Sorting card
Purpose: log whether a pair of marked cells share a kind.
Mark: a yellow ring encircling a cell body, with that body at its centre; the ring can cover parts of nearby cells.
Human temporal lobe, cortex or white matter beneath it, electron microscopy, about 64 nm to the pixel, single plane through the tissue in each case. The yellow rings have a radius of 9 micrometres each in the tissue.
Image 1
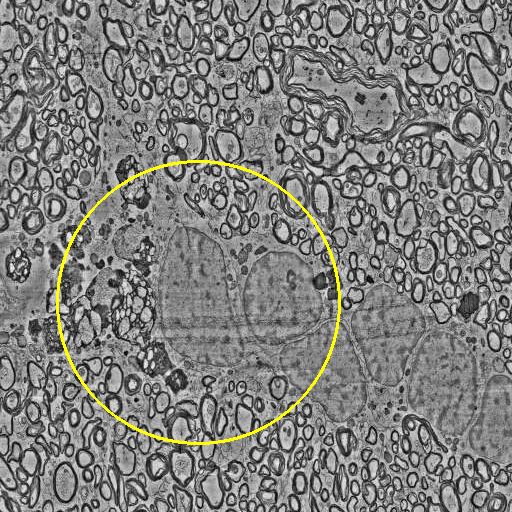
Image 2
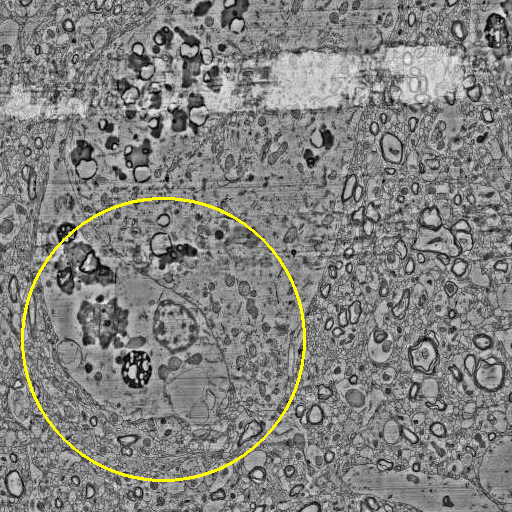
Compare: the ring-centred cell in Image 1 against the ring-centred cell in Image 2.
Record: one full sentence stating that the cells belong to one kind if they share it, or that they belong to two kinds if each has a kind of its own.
Across Images 1 and 2, the two ring-centred cells belong to one kind.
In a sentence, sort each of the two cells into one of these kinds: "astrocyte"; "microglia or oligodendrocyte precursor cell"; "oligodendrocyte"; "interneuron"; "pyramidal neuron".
Each of the ringed cells, first and second, is an astrocyte.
